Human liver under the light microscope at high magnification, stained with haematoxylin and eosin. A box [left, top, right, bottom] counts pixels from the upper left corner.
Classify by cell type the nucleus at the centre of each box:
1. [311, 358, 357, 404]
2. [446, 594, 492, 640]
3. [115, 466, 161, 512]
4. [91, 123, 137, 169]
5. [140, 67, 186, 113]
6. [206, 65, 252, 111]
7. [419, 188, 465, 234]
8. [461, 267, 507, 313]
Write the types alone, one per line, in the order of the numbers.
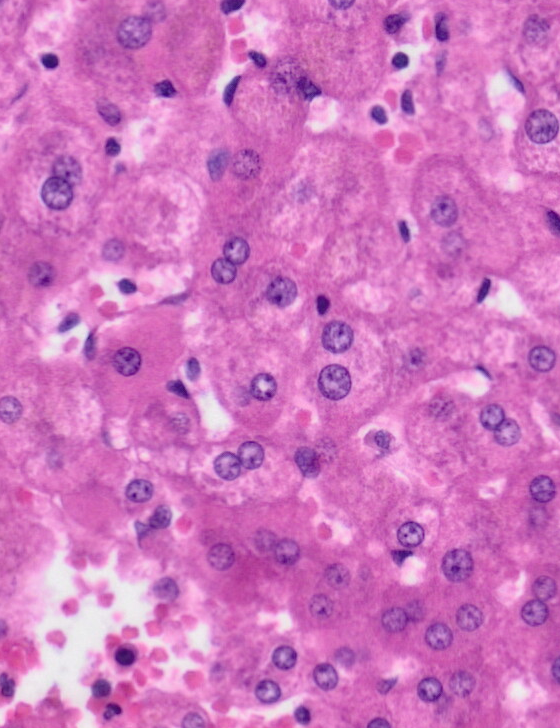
hepatocyte
hepatocyte
hepatocyte
lymphocyte
fibroblast or stellate cell
endothelial cell
hepatocyte
endothelial cell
